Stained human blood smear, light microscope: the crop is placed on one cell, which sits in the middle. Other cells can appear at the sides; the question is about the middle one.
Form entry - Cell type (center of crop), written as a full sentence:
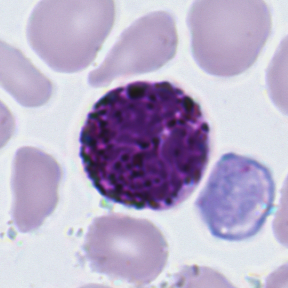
The cell of interest, in the center, is a basophil.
